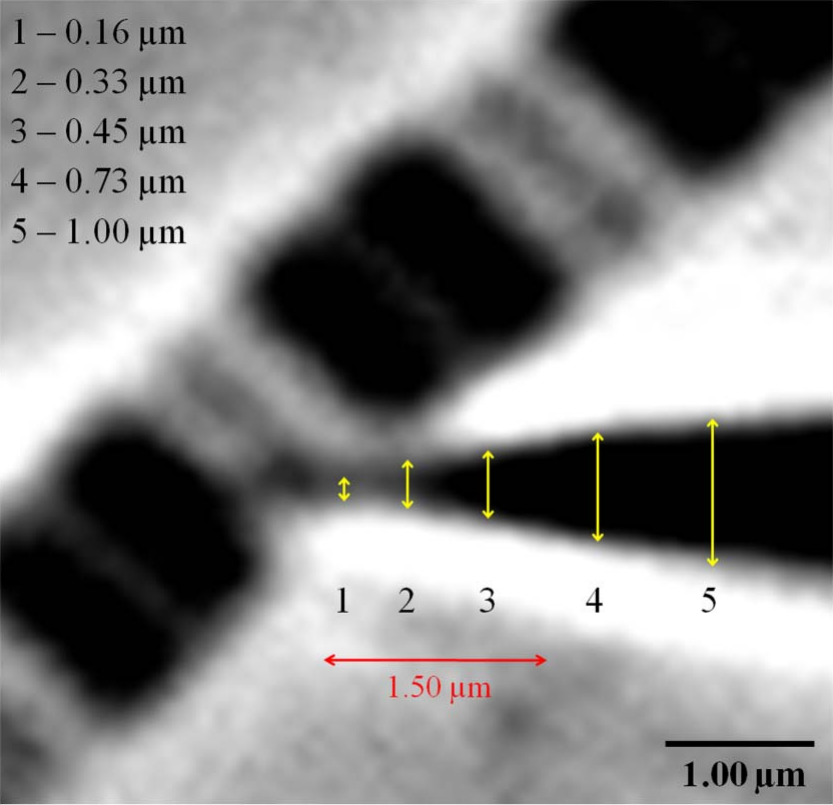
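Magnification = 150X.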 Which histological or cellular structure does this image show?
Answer: myofibril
